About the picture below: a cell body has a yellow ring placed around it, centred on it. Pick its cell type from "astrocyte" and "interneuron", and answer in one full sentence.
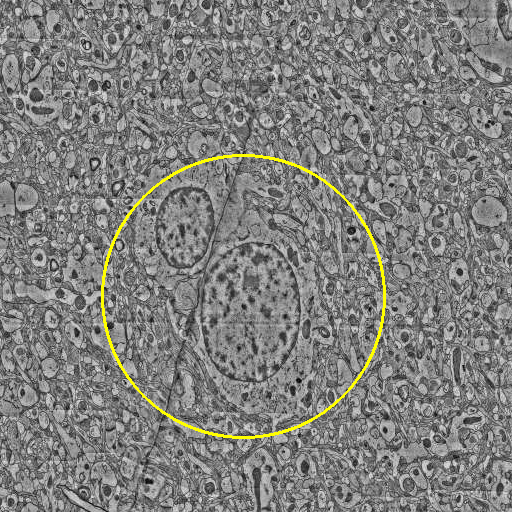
In the picture, an astrocyte is the cell sitting at the centre of the yellow ring.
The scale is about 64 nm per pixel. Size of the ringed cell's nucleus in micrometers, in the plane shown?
The nucleus works out at approximately 9 by 6 micrometres in this plane.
